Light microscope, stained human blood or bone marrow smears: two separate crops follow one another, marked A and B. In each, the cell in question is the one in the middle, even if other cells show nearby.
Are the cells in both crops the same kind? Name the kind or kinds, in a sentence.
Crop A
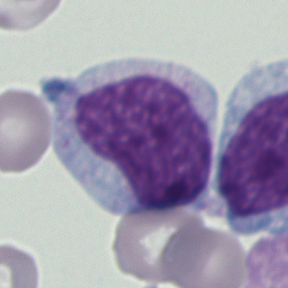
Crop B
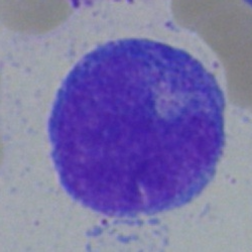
Yes, both crops show promyelocytes in their central position.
